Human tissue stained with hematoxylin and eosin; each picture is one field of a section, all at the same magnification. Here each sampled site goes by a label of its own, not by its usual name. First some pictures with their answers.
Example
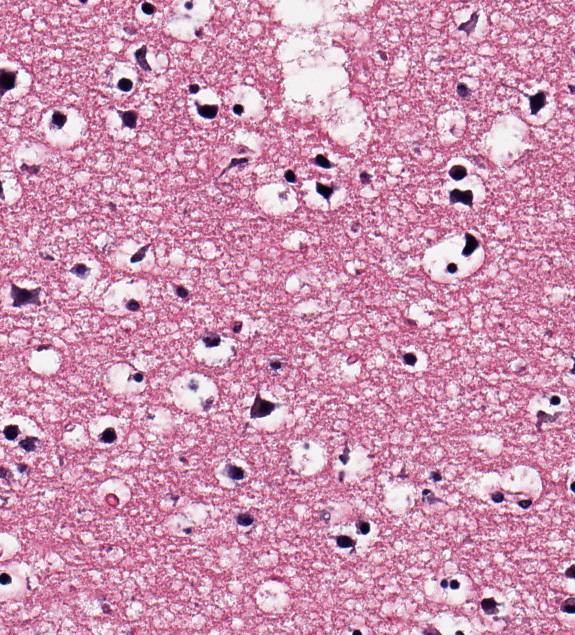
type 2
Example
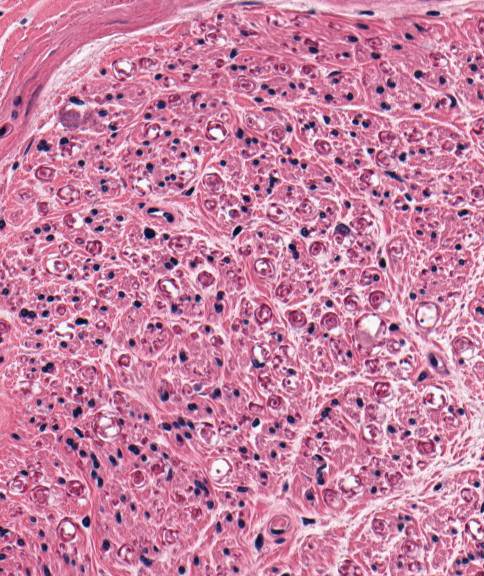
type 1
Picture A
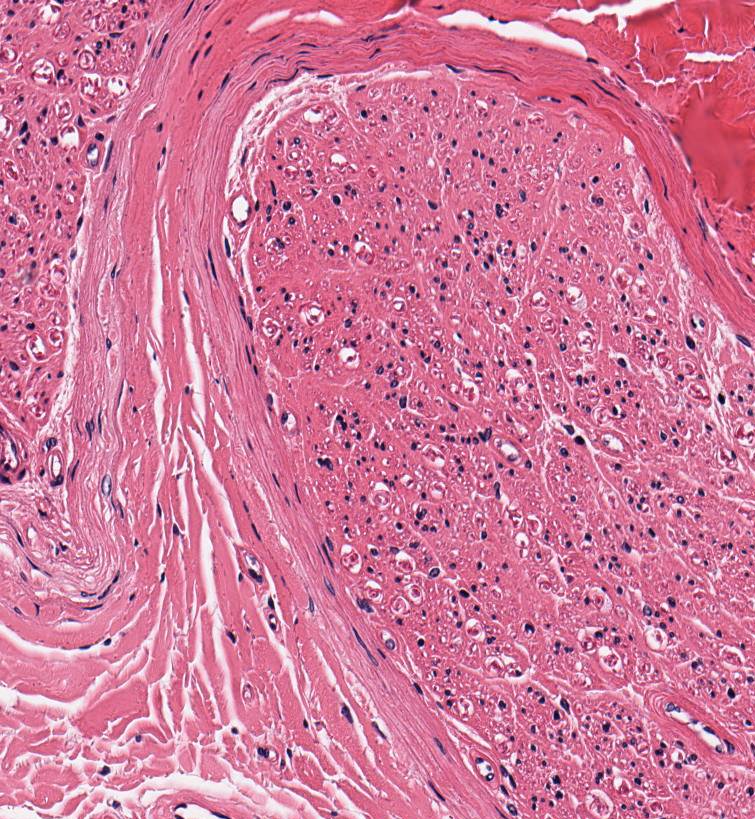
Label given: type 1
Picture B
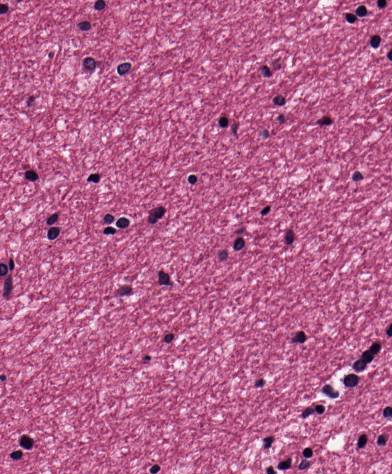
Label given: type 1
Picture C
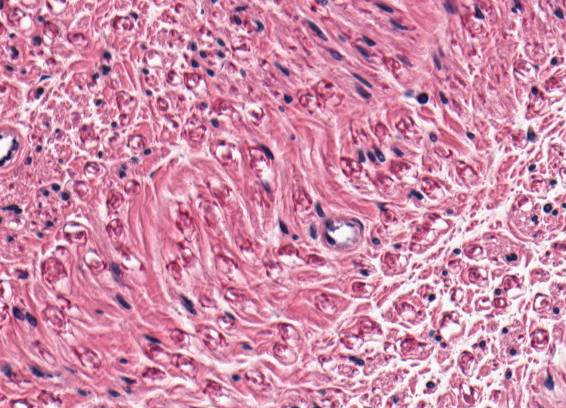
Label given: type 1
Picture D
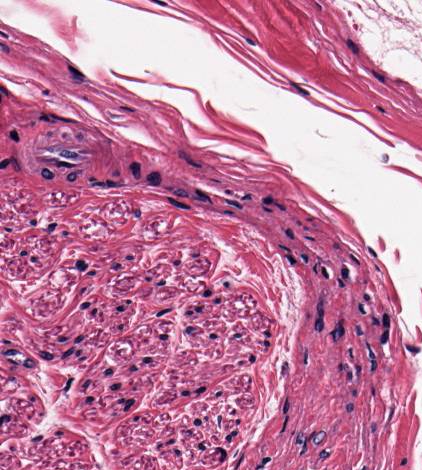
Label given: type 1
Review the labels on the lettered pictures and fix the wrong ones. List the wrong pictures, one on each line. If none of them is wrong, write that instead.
Wrong: B (type 1); correct: type 2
